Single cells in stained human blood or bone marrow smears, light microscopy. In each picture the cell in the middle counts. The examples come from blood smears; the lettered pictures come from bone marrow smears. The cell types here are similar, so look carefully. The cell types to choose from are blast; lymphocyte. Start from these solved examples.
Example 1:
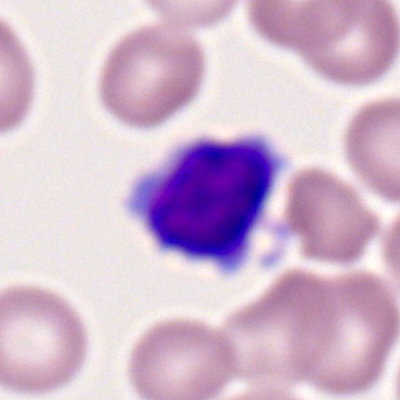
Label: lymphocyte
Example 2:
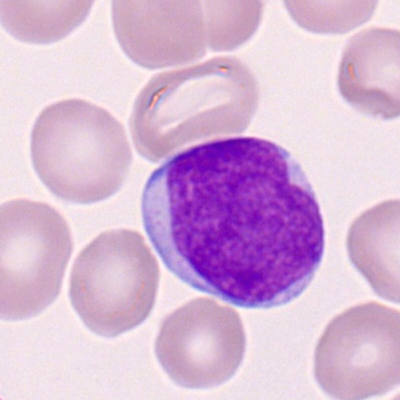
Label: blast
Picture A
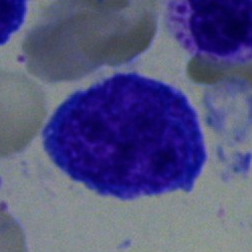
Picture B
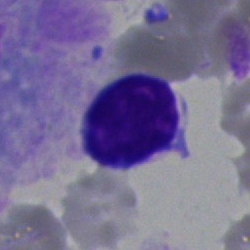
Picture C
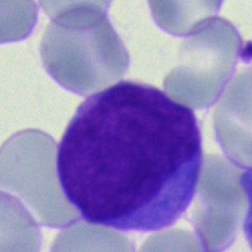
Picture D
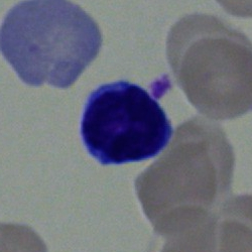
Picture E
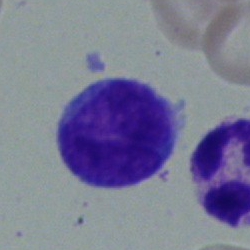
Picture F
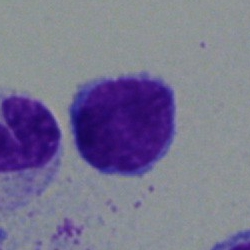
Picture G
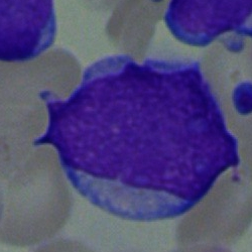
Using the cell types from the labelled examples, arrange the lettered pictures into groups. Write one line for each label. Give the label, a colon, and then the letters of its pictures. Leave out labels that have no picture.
blast: A, C, E, G
lymphocyte: B, D, F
